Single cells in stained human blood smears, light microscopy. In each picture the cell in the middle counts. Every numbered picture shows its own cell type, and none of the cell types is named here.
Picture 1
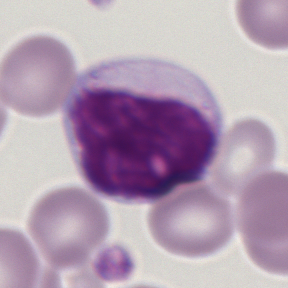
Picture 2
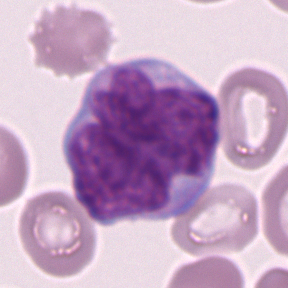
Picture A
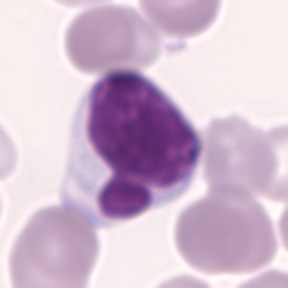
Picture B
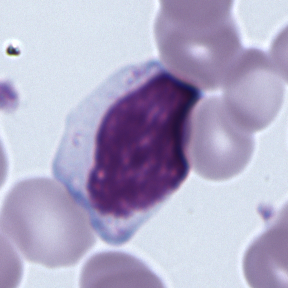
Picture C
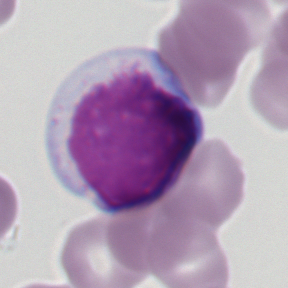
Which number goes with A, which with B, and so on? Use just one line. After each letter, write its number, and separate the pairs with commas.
A 1, B 1, C 1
